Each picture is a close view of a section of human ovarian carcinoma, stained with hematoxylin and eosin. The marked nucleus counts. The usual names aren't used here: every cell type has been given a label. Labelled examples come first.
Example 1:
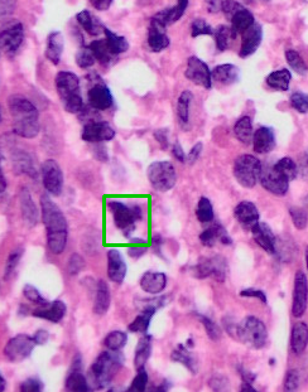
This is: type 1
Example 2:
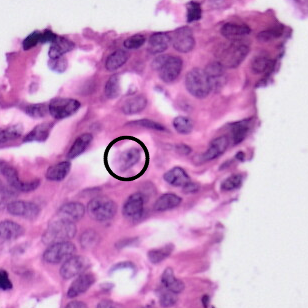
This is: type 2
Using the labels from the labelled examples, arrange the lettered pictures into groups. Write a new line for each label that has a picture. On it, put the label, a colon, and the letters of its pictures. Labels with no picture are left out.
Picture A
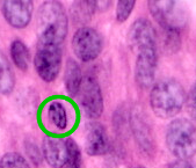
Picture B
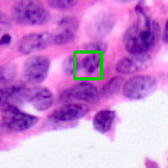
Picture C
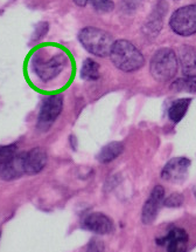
type 1: B
type 2: A, C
